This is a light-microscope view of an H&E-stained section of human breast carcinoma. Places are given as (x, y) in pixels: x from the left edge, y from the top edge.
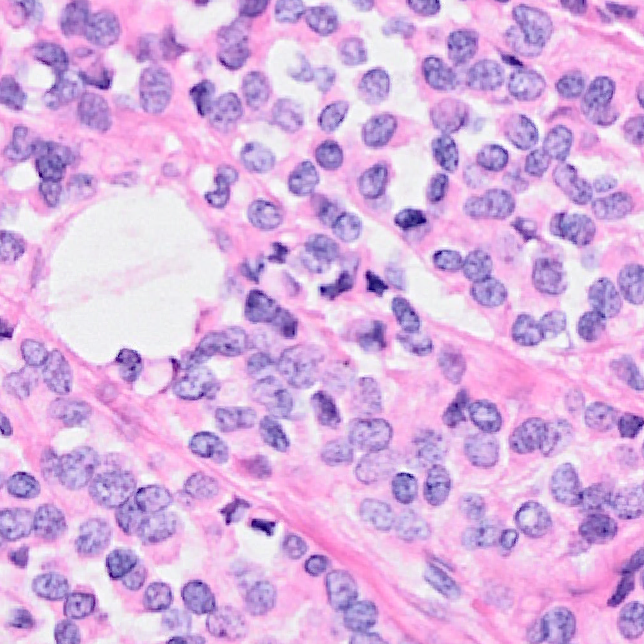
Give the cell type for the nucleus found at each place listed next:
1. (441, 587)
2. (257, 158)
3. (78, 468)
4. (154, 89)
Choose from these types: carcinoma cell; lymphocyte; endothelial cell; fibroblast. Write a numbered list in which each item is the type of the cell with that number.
1. endothelial cell
2. carcinoma cell
3. carcinoma cell
4. carcinoma cell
